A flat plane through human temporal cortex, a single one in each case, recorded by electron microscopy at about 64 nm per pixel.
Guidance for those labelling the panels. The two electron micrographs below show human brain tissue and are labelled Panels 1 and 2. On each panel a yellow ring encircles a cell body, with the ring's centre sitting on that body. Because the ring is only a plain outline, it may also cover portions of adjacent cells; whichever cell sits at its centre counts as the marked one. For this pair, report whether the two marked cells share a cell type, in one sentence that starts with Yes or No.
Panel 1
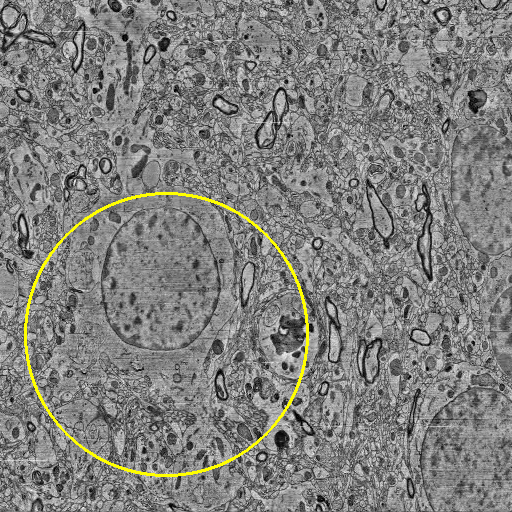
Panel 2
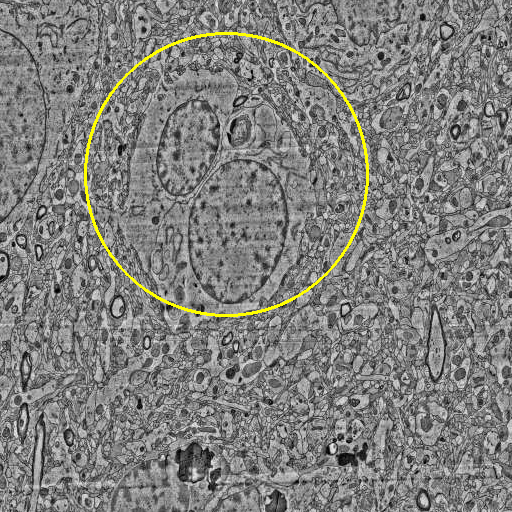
Yes, in Panel 1 and Panel 2 the marked cells at the ring centres share one type.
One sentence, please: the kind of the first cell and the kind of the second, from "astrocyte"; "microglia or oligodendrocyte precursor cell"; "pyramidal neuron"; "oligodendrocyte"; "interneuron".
In each of the two pictures, the ringed cell is an astrocyte.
